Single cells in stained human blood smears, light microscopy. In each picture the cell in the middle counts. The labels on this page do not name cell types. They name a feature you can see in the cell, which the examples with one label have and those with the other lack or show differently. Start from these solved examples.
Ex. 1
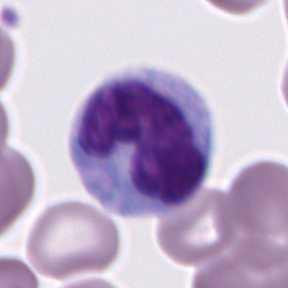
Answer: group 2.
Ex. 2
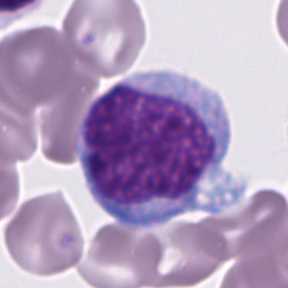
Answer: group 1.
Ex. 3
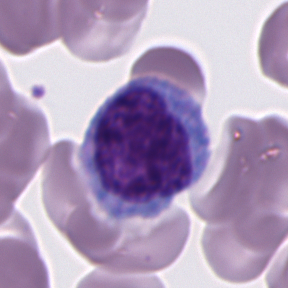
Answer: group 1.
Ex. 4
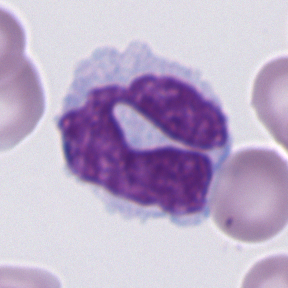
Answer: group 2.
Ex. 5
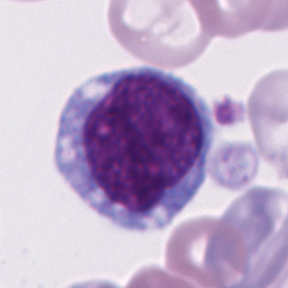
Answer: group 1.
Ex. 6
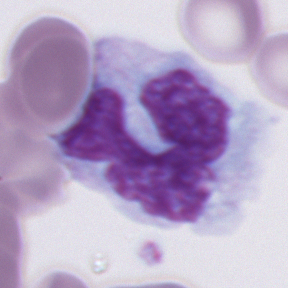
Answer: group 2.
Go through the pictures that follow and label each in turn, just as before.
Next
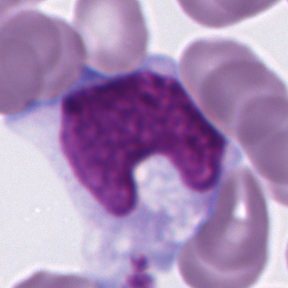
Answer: group 2.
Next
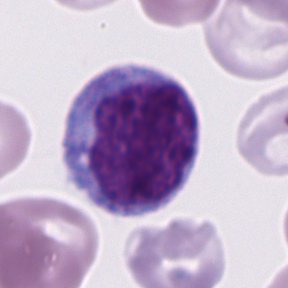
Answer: group 1.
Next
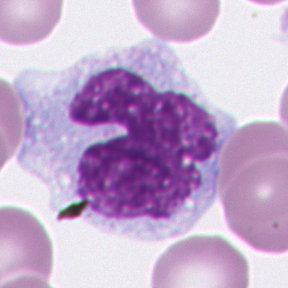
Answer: group 2.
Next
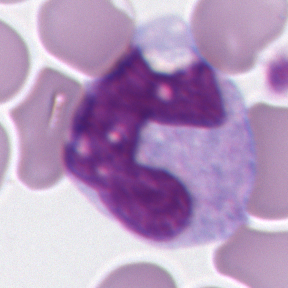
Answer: group 2.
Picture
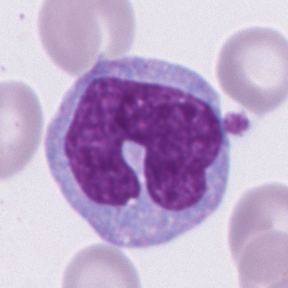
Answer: group 2.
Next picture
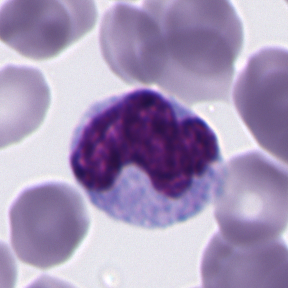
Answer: group 2.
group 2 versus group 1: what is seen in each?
Seen in group 2: band-shaped nucleus; seen in group 1: round or oval nucleus.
